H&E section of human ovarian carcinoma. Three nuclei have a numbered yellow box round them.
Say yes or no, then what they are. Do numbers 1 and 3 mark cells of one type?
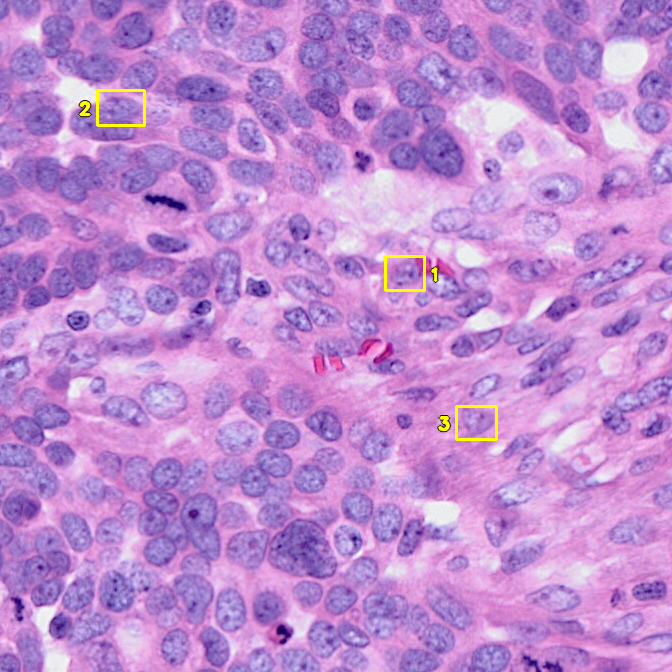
No, cell 1 is typed as an endothelial cell, and cell 3 is typed as a fibroblast.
